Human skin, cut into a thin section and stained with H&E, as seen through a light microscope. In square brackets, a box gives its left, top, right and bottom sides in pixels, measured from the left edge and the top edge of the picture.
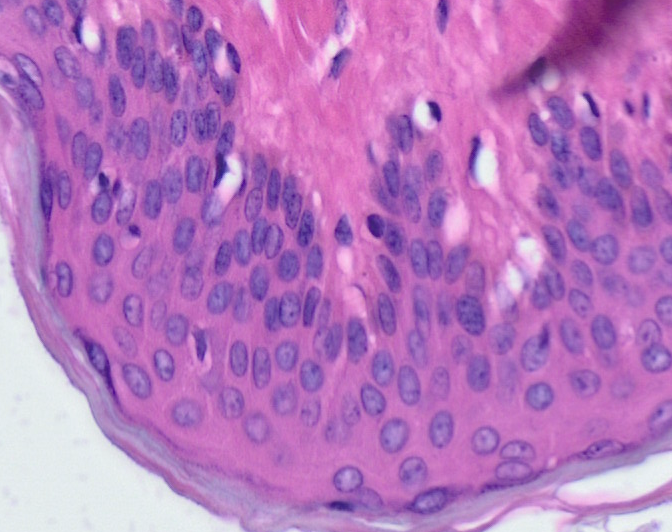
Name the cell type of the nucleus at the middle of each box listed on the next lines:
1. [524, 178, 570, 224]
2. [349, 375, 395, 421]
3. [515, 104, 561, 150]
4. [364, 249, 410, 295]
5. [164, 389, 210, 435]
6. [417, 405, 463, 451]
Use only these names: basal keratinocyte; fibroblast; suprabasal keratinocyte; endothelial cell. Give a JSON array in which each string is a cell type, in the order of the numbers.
["basal keratinocyte", "suprabasal keratinocyte", "basal keratinocyte", "basal keratinocyte", "suprabasal keratinocyte", "suprabasal keratinocyte"]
